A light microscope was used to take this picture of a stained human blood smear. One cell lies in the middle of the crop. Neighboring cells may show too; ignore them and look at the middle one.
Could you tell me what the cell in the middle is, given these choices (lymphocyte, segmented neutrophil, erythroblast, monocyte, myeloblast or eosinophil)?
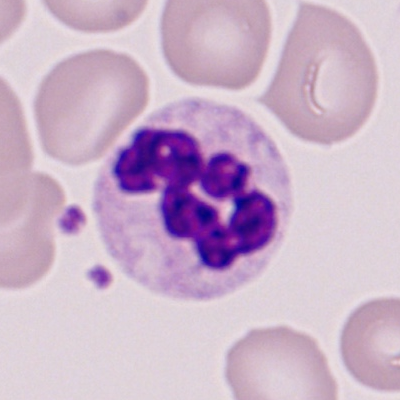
segmented neutrophil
